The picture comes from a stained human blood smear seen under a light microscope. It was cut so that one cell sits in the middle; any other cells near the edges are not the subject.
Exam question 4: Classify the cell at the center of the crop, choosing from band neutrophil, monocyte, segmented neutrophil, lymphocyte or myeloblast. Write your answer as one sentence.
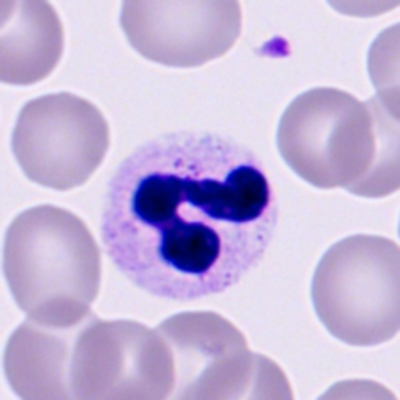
Regarding the central cell, it is a segmented neutrophil.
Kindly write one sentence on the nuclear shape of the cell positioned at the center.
We find a nucleus divided into at least two lobes.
